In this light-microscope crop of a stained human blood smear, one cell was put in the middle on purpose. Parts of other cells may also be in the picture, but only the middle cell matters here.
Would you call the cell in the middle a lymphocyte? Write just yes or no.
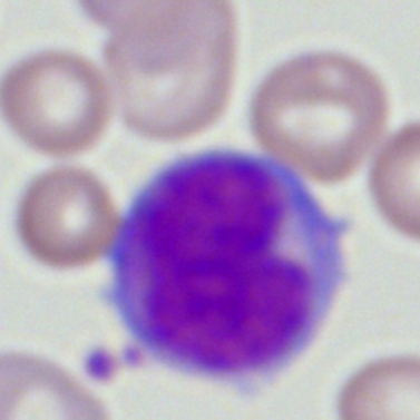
no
